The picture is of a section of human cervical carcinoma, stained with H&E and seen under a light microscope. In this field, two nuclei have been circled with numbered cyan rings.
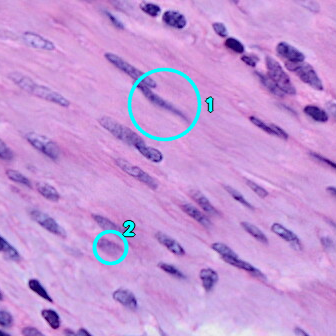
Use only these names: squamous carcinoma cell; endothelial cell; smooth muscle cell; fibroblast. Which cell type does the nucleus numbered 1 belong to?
fibroblast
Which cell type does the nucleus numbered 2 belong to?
smooth muscle cell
